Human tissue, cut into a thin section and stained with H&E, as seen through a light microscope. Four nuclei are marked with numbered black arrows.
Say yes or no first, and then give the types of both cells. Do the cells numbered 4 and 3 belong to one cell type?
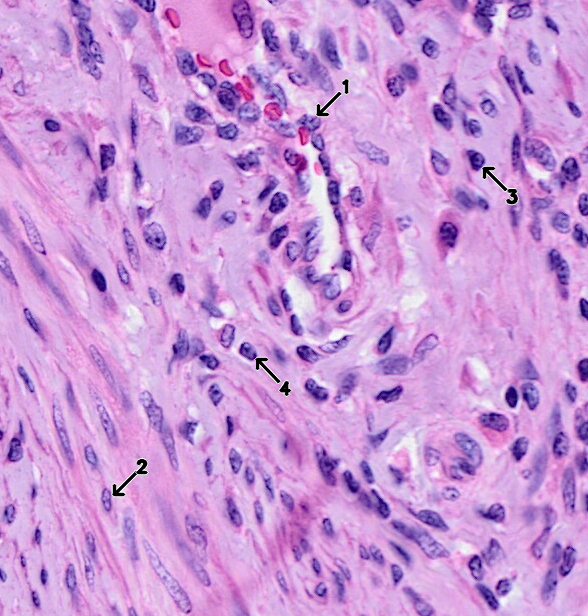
Yes, cell number 4 and cell number 3 are both lymphocytes.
